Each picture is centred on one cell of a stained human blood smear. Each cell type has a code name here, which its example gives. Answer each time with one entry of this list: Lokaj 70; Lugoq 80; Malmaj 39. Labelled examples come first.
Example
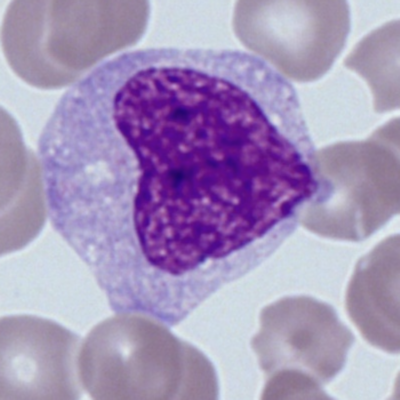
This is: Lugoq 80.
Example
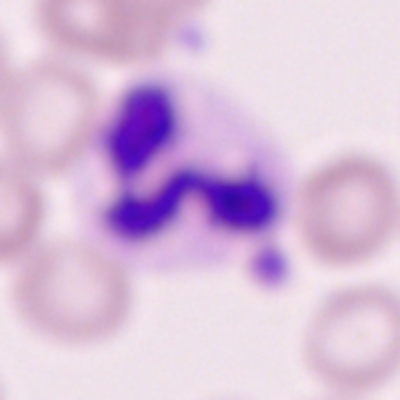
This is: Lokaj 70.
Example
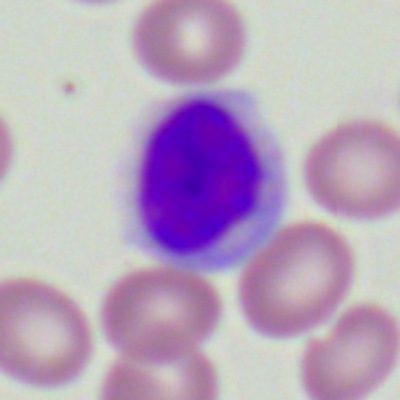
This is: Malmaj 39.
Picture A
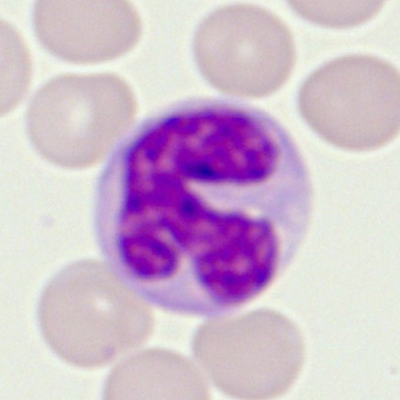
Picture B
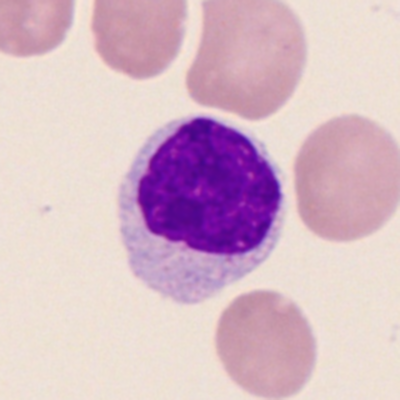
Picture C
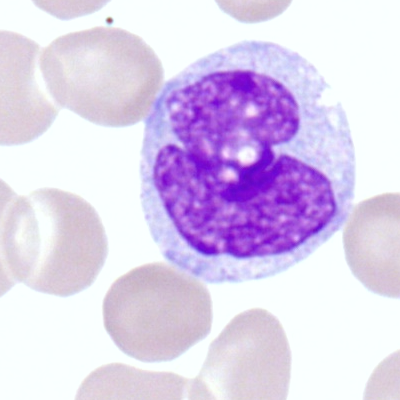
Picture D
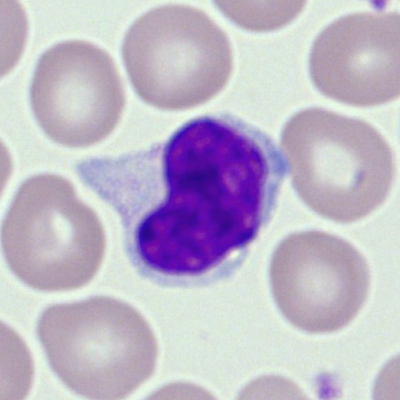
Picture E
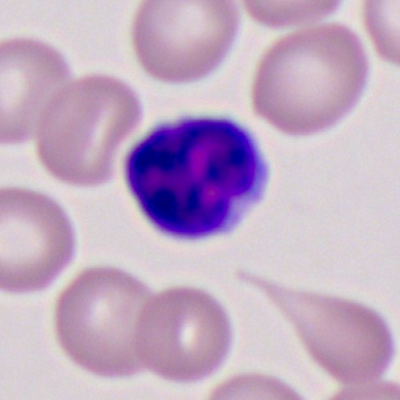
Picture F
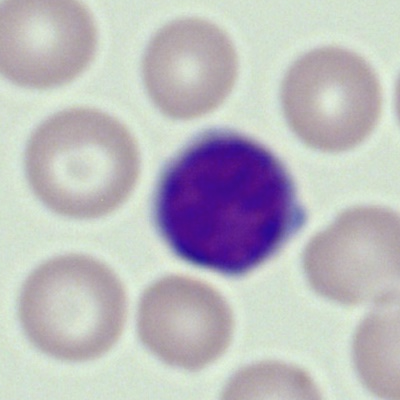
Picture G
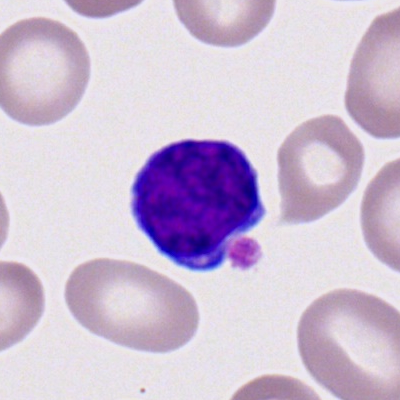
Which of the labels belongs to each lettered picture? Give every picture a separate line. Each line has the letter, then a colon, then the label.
A: Lugoq 80.
B: Malmaj 39.
C: Lugoq 80.
D: Malmaj 39.
E: Malmaj 39.
F: Malmaj 39.
G: Malmaj 39.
